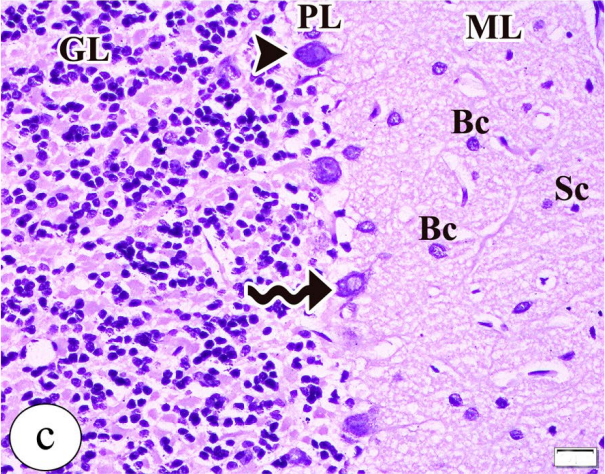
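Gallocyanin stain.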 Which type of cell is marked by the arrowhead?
Purkinje cell.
